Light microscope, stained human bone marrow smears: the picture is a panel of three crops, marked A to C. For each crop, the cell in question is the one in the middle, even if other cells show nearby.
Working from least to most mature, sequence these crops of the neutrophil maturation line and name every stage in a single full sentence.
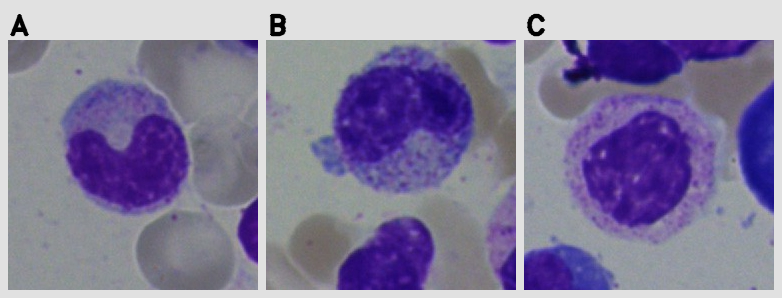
Arranged by increasing maturity, the crops are crop C (a myelocyte), crop B (a metamyelocyte) and crop A (a band neutrophil).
